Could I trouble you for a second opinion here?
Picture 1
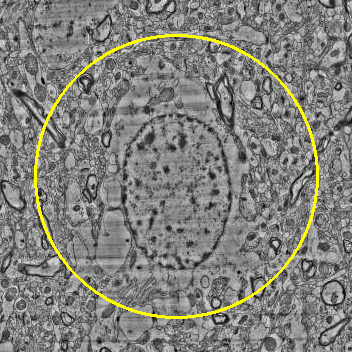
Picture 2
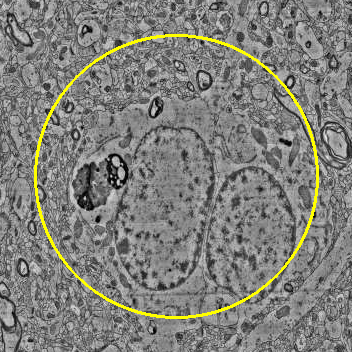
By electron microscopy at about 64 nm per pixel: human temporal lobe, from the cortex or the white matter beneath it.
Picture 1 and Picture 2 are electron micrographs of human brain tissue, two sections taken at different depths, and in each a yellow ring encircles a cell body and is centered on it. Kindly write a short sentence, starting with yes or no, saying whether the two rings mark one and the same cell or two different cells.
No, the two circled cells are distinct from one another.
